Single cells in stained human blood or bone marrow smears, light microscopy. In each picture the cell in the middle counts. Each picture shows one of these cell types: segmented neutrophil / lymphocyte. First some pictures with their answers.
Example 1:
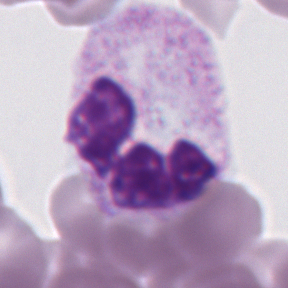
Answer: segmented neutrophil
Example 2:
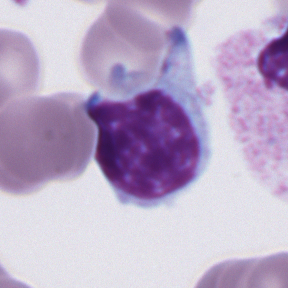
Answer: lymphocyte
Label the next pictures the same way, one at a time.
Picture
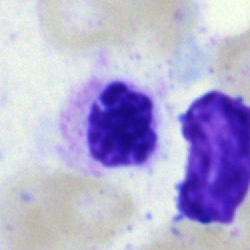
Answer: segmented neutrophil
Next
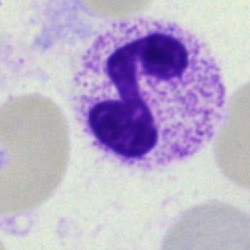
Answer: segmented neutrophil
